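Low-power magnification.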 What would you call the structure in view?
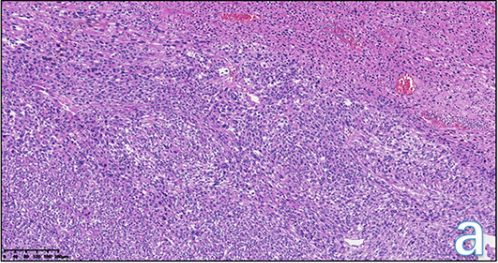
Fascicular growth.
